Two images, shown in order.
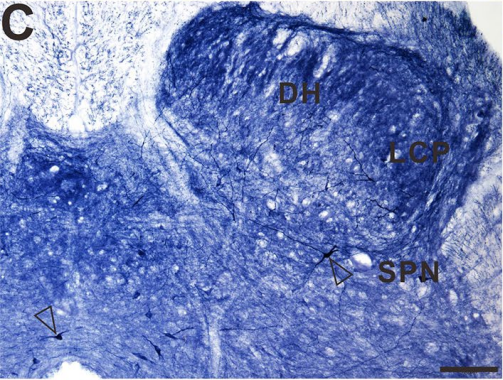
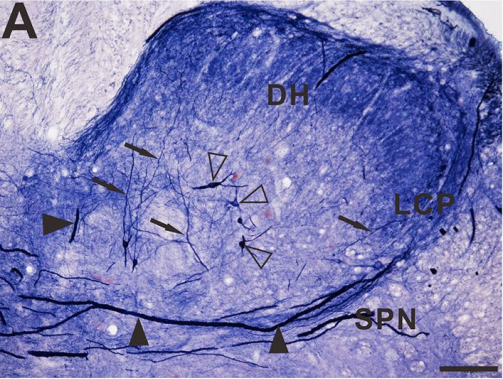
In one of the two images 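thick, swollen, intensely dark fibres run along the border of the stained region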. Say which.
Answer: The second image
